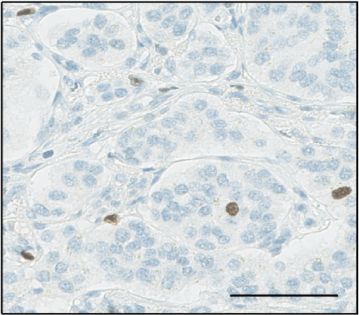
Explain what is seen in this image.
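This is a field of tumor tissue in which many closely packed cells with round to oval nuclei are gathered into rounded nests. Thin, pale strands of stroma run between the nests and divide them into separate compartments. Most nuclei are counterstained pale blue and sit in scant, pale cytoplasm. Only a few scattered nuclei are stained brown, some lying within the nests and some at their edges.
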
